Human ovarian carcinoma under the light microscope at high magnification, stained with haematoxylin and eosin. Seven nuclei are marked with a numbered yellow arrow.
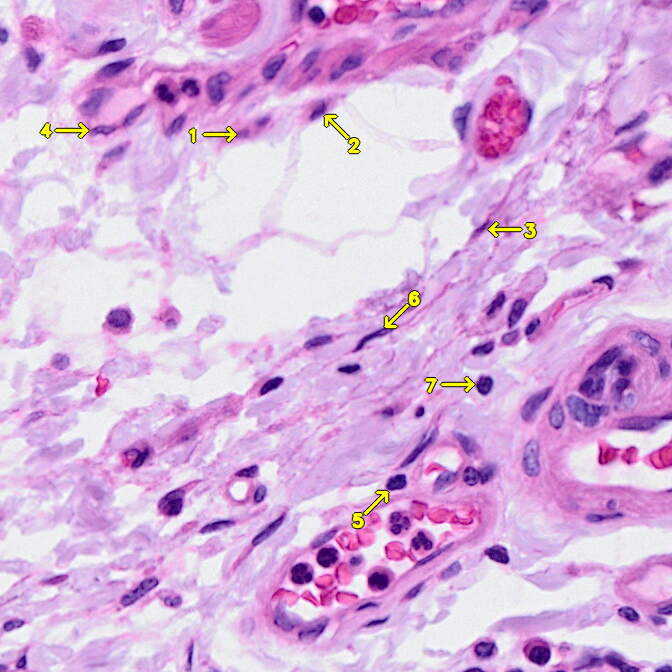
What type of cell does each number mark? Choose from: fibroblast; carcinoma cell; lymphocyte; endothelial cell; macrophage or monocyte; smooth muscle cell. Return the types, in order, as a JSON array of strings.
["endothelial cell", "endothelial cell", "fibroblast", "endothelial cell", "lymphocyte", "fibroblast", "lymphocyte"]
